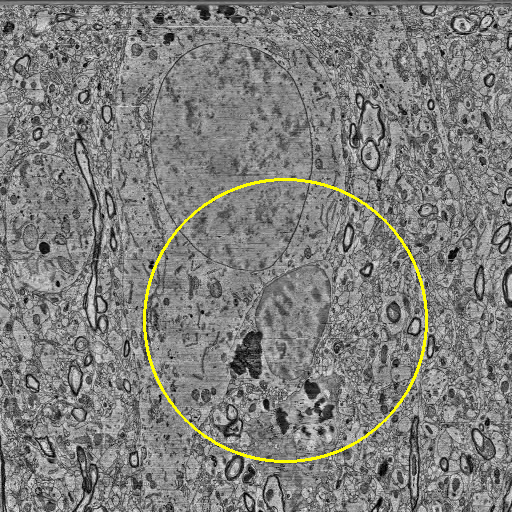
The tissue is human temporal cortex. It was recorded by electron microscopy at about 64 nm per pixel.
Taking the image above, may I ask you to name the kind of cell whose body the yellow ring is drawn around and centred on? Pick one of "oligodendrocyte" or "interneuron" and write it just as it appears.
oligodendrocyte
